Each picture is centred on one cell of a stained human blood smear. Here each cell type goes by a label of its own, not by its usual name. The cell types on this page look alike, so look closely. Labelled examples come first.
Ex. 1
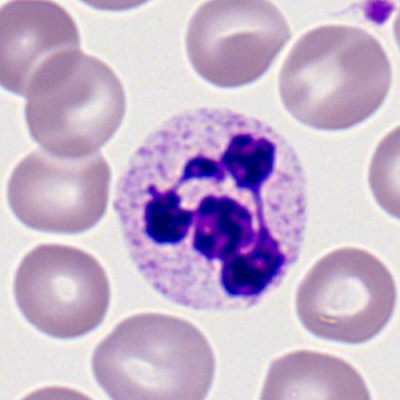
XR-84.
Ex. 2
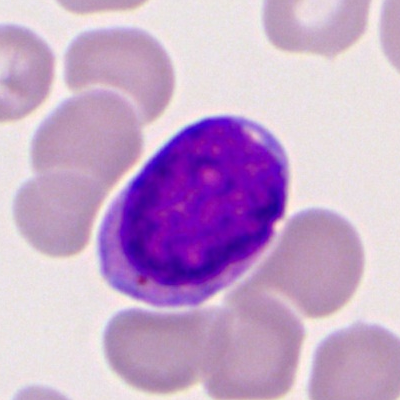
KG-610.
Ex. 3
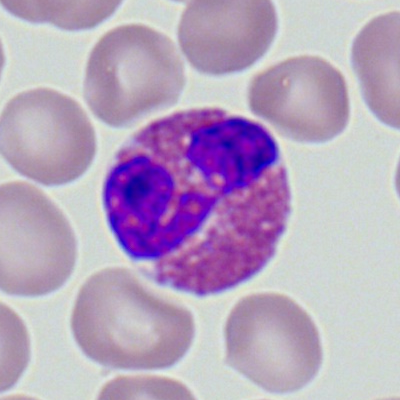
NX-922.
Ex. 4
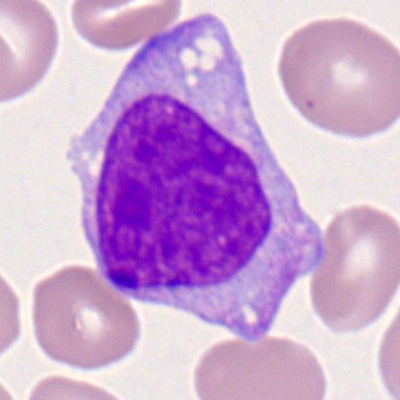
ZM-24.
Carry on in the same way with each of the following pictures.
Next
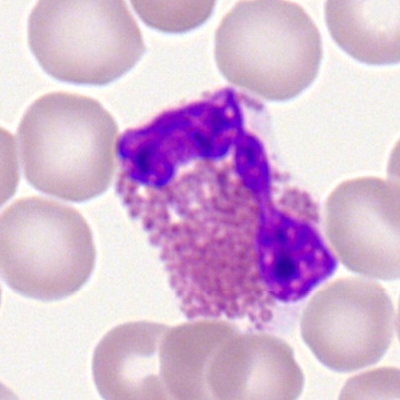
NX-922.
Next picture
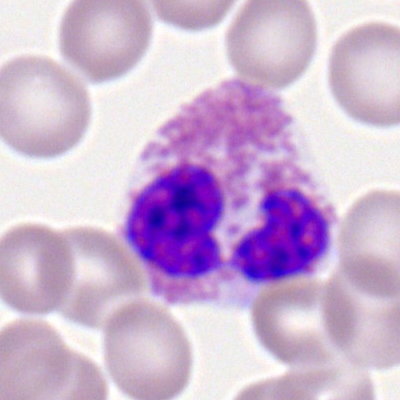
NX-922.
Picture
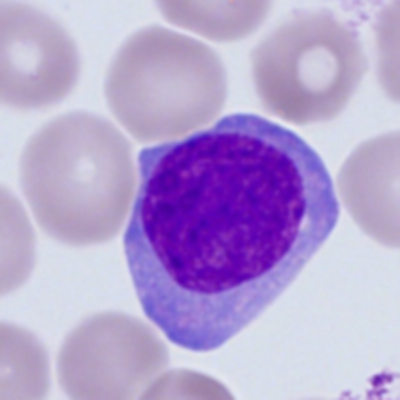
KG-610.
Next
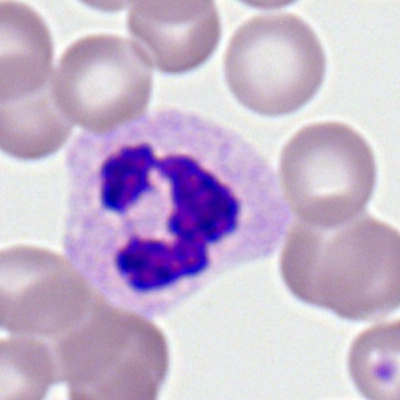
XR-84.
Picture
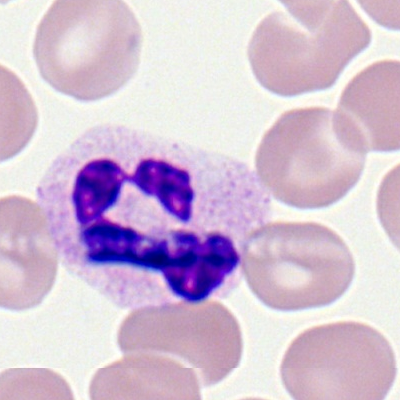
XR-84.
